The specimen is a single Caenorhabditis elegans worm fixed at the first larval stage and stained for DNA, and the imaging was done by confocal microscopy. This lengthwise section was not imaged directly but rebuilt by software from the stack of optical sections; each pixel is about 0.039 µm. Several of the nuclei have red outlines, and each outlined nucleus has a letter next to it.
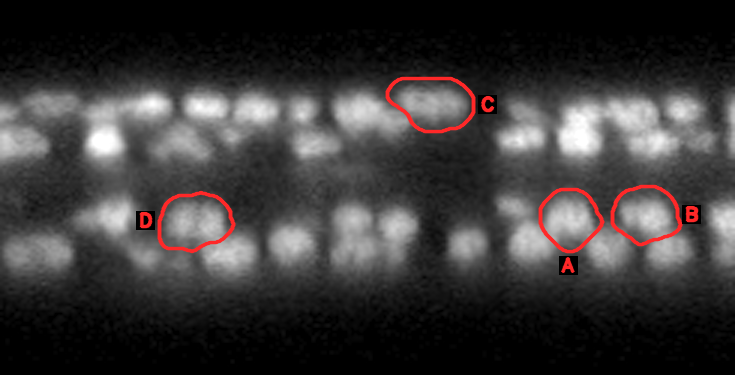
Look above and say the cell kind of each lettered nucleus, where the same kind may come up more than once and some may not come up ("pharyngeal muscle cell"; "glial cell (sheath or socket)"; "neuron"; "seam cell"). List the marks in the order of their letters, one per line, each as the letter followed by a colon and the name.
A: neuron
B: neuron
C: seam cell
D: pharyngeal muscle cell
